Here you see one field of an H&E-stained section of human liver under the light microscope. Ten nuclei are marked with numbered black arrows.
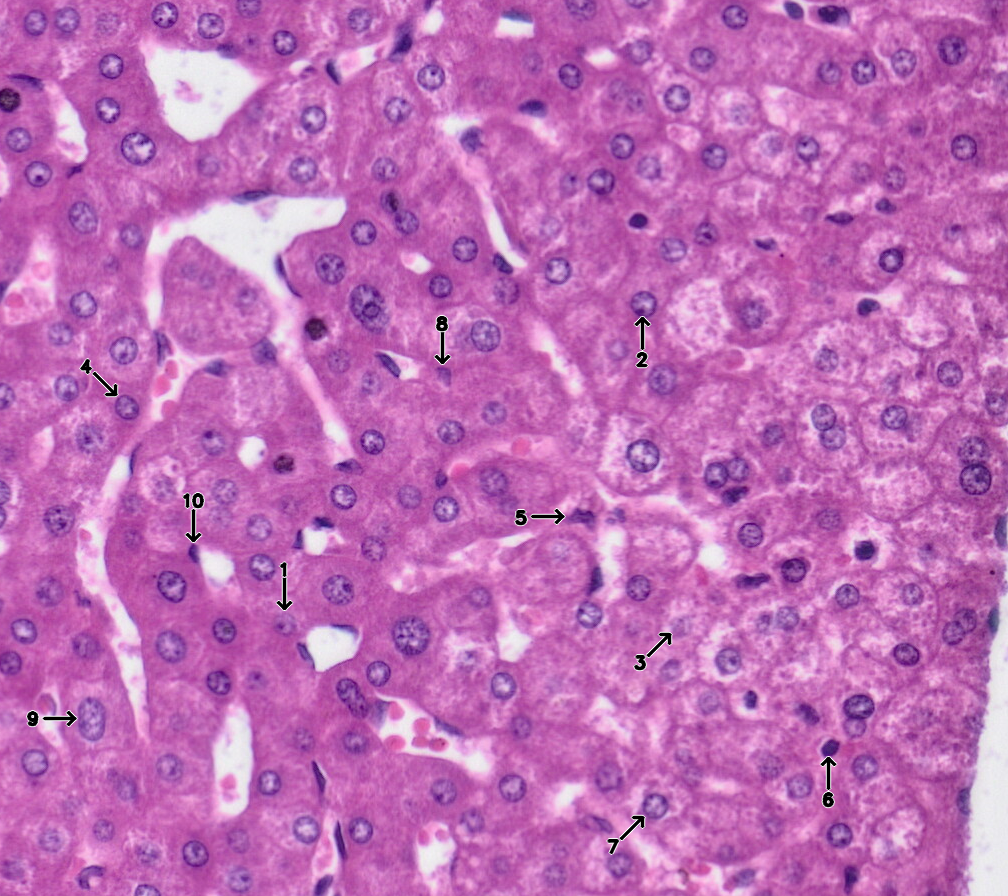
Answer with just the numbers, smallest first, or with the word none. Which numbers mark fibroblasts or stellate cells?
8, 10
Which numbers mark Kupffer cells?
5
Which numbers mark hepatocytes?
1, 2, 3, 4, 7, 9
